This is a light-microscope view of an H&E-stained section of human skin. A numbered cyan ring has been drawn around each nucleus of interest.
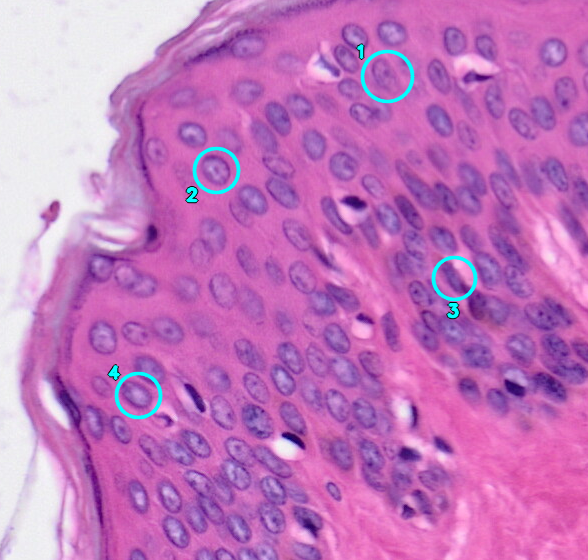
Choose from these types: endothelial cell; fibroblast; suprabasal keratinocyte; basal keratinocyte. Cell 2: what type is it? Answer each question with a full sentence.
At number 2, the marked cell is a suprabasal keratinocyte.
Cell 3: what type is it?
The cell carrying label 3 is identified as a basal keratinocyte.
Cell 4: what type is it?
Identified by the number 4, the cell is a suprabasal keratinocyte.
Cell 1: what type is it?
The cell carrying label 1 is identified as a suprabasal keratinocyte.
